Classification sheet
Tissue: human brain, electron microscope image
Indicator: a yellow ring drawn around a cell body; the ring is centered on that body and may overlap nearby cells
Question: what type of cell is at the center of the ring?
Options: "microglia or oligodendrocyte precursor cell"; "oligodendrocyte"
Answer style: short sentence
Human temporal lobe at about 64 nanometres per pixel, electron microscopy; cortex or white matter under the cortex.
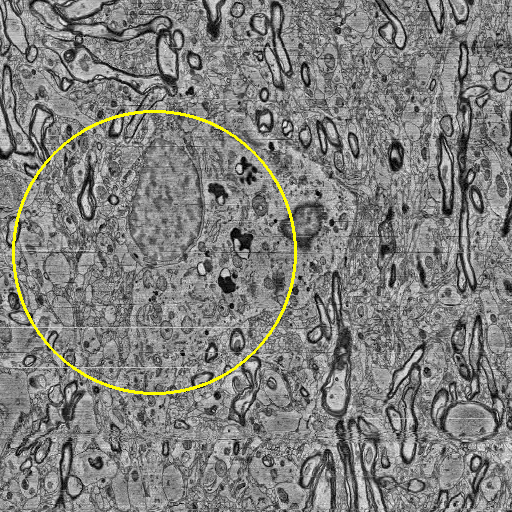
At the ring's center is an oligodendrocyte.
